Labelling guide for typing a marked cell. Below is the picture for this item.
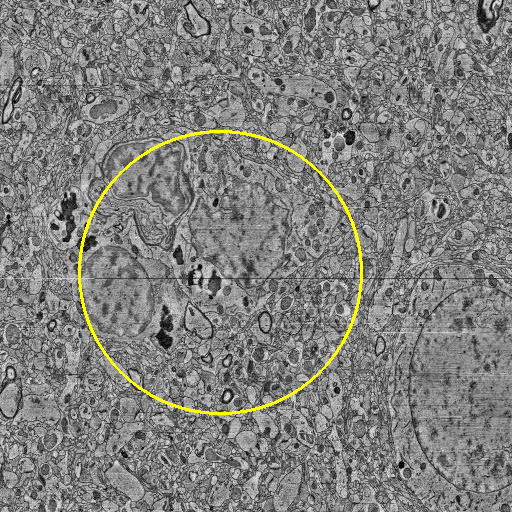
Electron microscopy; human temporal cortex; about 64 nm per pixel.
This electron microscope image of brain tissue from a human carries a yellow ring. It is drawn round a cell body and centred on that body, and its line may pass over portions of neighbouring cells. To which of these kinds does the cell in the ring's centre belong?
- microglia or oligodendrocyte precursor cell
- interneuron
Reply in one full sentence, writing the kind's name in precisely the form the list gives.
Here we have an interneuron at the centre of the yellow ring in the picture.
